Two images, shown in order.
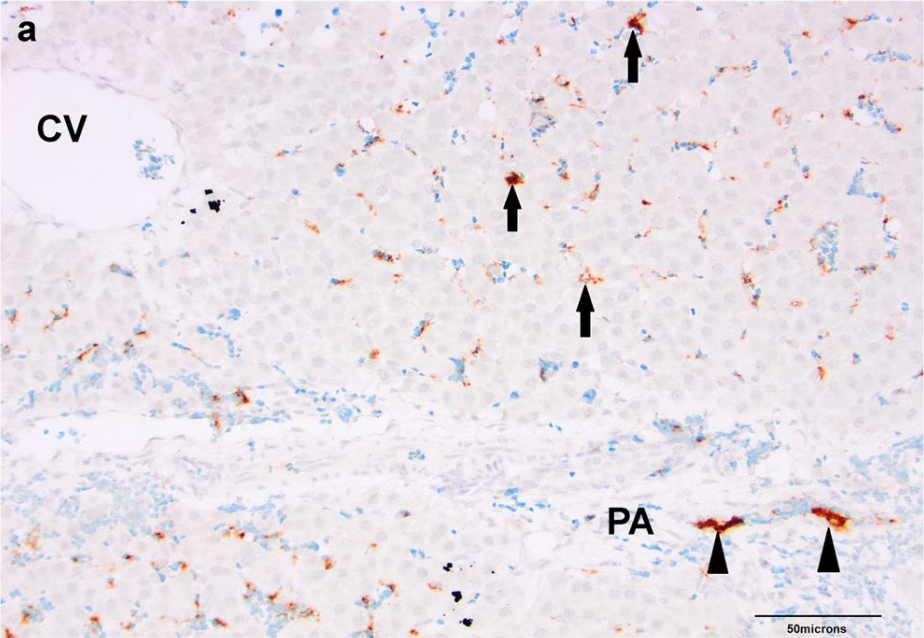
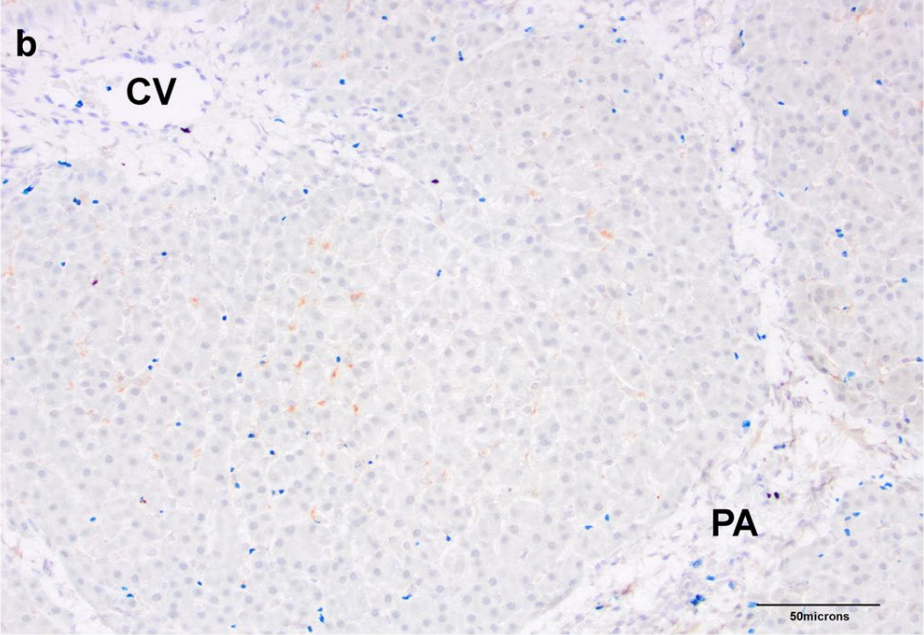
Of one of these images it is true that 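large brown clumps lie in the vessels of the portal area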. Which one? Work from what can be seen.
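Second image: the portal area carries no large brown clumps, only faint small brown spots in the tissue. First image: two dense dark-brown clumps lie in the portal area band. That points to this answer: the first image.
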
